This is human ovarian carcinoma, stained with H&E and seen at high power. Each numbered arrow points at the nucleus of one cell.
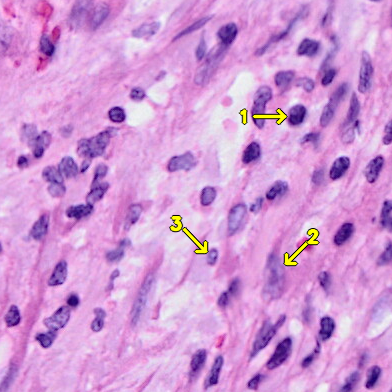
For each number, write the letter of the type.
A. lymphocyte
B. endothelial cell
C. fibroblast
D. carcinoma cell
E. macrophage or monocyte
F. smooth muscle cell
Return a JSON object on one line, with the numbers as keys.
{"1": "A", "2": "C", "3": "A"}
